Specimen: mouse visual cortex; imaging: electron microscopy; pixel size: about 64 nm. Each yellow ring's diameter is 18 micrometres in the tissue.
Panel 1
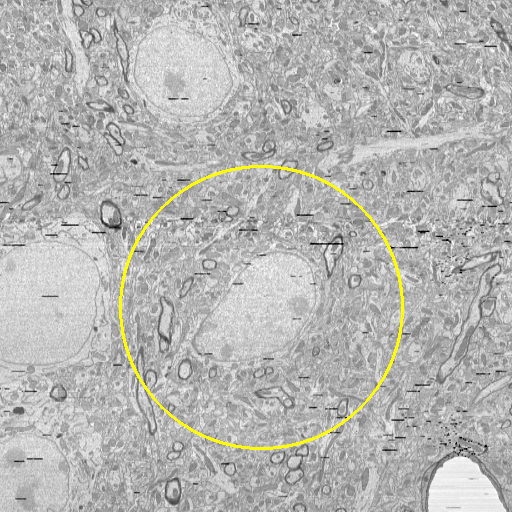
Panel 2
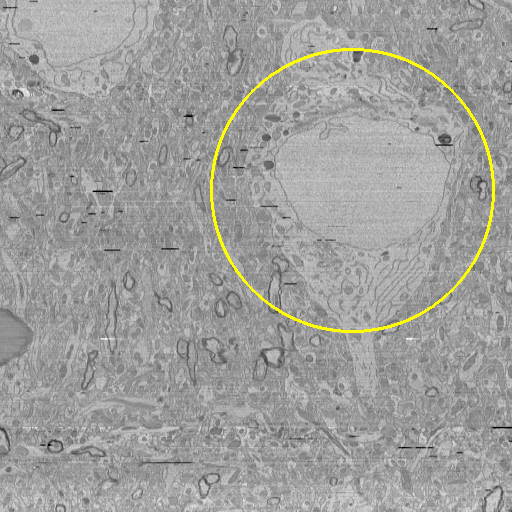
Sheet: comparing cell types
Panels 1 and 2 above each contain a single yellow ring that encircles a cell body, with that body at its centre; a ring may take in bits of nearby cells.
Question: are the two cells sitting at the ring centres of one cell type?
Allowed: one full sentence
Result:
No, the ring-centre cells in Panel 1 and Panel 2 are of two types.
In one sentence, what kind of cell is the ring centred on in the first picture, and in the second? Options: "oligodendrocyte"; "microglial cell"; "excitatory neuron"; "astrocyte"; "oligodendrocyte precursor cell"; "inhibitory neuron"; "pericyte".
The cell at the centre of the second ring is an excitatory neuron; the first ring's cell is an astrocyte.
